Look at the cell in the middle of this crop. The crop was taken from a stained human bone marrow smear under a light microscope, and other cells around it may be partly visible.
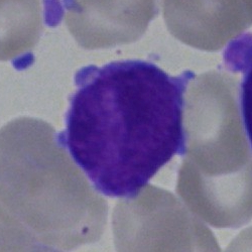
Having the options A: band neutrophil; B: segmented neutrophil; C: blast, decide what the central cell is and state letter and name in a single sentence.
The correct option here is C; the middle cell is a blast.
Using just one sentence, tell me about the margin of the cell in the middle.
Around its circumference, the cell has an uneven edge, ragged or projecting in places.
